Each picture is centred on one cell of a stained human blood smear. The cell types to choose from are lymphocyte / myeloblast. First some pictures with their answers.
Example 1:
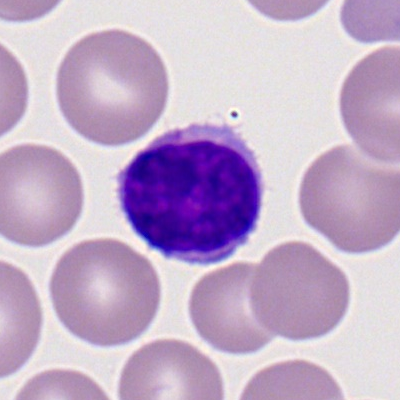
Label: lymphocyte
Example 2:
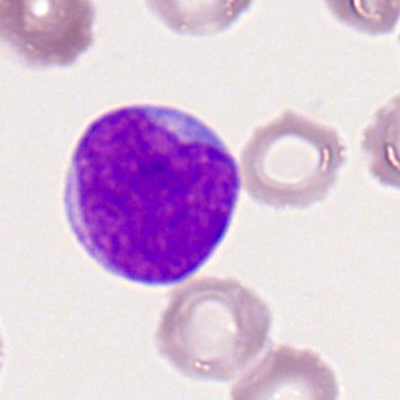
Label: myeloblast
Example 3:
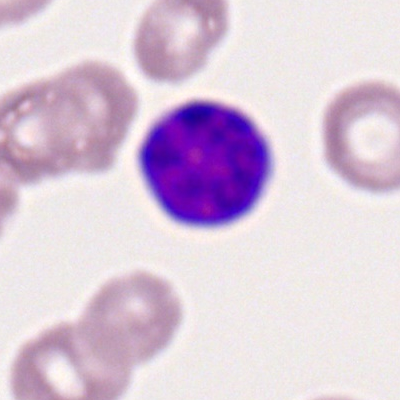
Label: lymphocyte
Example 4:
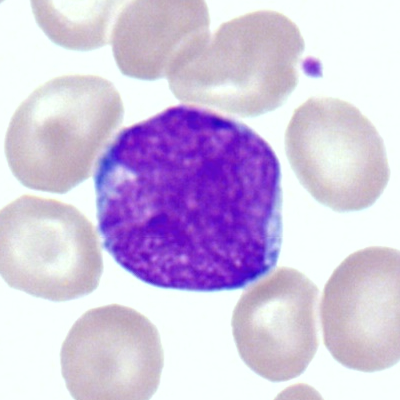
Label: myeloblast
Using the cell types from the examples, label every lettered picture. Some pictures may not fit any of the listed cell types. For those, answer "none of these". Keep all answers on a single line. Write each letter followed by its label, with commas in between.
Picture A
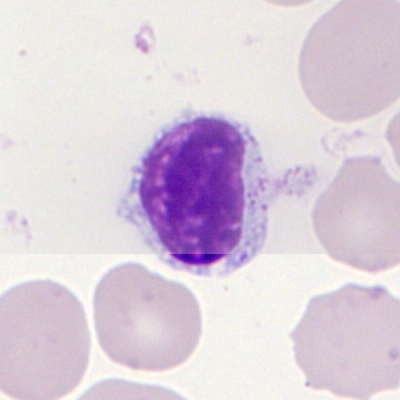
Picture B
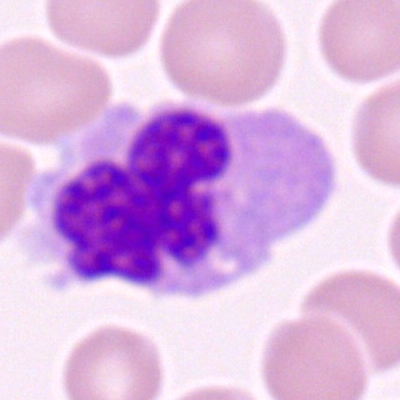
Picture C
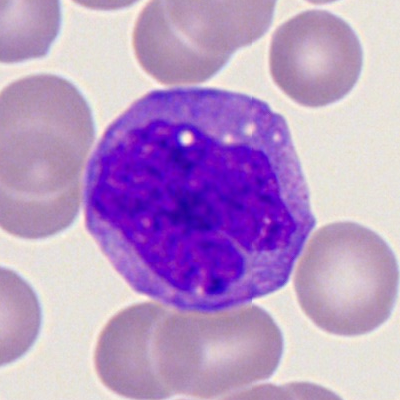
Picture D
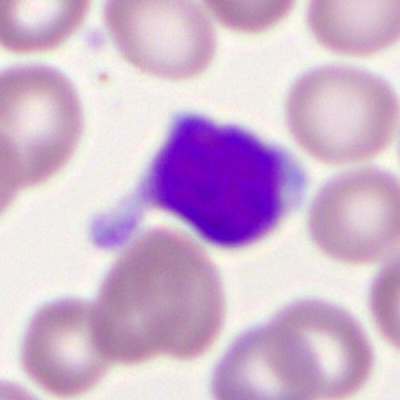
A lymphocyte, B none of these, C none of these, D lymphocyte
